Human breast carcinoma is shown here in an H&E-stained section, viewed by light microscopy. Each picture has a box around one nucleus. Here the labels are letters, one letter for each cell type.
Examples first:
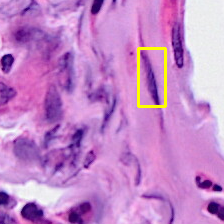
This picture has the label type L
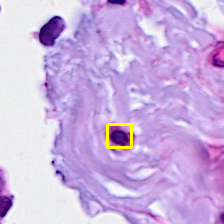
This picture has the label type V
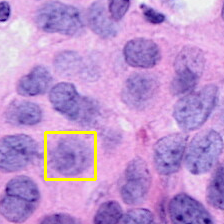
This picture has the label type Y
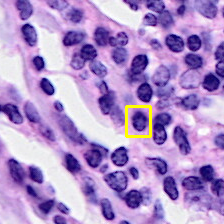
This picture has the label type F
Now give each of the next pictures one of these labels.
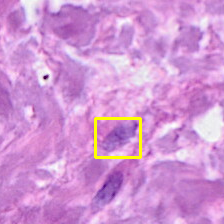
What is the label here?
type L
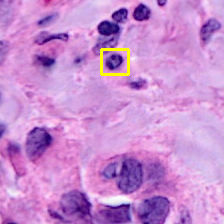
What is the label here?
type V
